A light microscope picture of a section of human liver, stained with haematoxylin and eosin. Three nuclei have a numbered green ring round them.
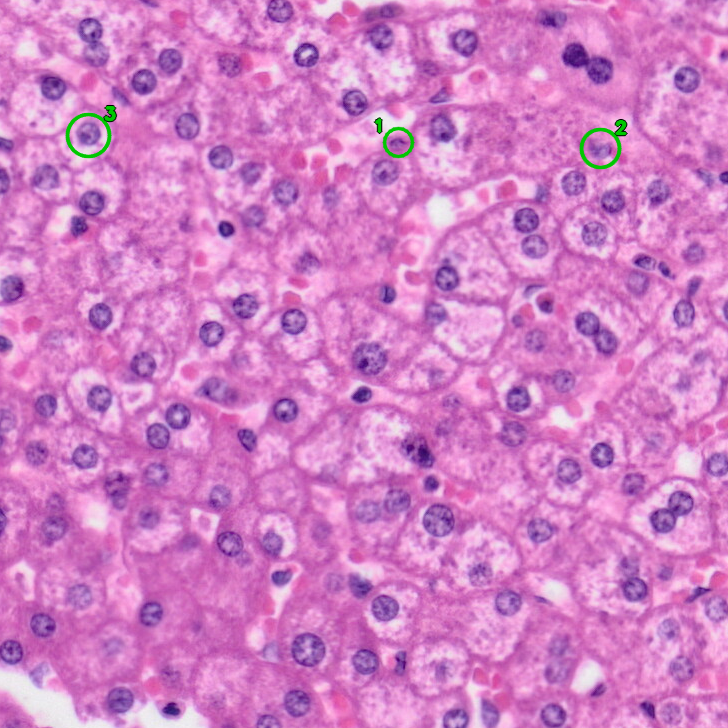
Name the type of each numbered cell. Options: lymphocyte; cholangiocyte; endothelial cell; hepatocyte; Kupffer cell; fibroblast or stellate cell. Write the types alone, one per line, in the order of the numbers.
Kupffer cell
endothelial cell
hepatocyte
